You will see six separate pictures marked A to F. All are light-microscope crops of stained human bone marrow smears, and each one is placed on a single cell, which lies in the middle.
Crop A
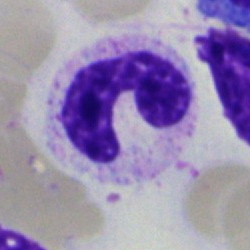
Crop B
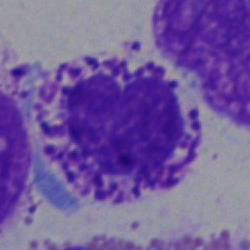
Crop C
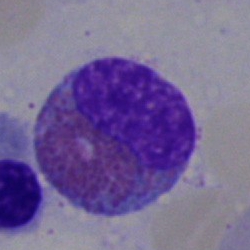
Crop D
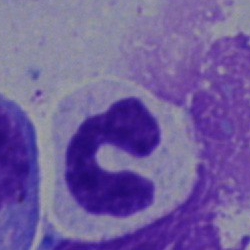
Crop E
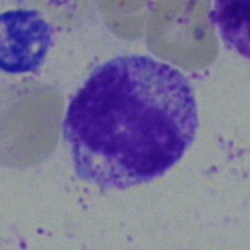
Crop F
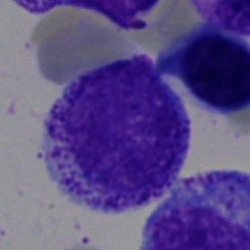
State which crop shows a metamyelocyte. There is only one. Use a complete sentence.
Of the labeled crops, the one with a metamyelocyte is crop E.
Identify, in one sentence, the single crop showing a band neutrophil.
Of the crops shown, crop A depicts a band neutrophil.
